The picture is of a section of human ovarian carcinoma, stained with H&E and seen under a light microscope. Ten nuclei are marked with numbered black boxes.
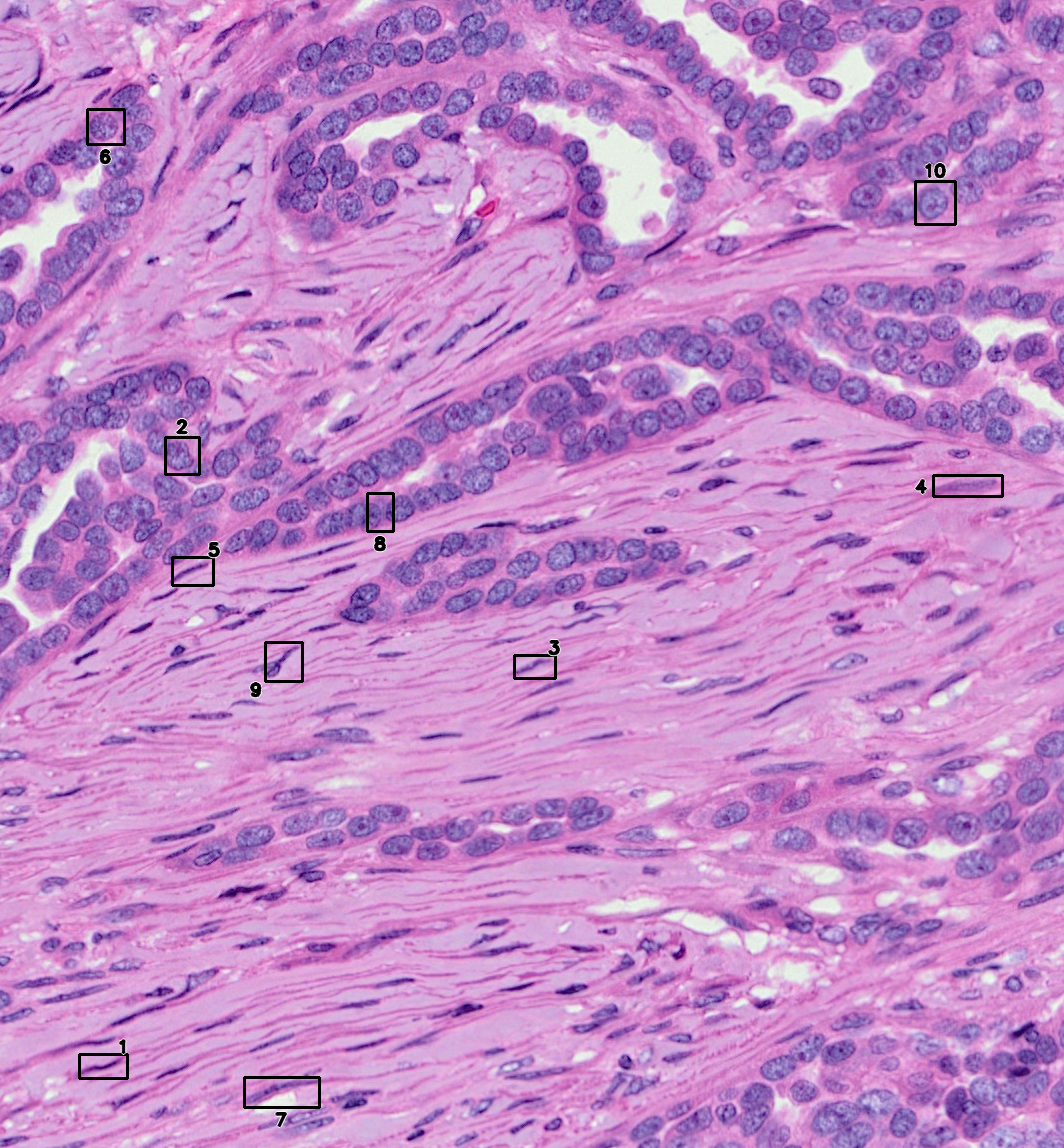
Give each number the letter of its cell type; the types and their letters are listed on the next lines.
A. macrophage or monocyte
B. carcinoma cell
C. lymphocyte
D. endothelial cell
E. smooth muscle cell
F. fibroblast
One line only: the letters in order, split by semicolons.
F; B; F; F; F; B; F; B; F; B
